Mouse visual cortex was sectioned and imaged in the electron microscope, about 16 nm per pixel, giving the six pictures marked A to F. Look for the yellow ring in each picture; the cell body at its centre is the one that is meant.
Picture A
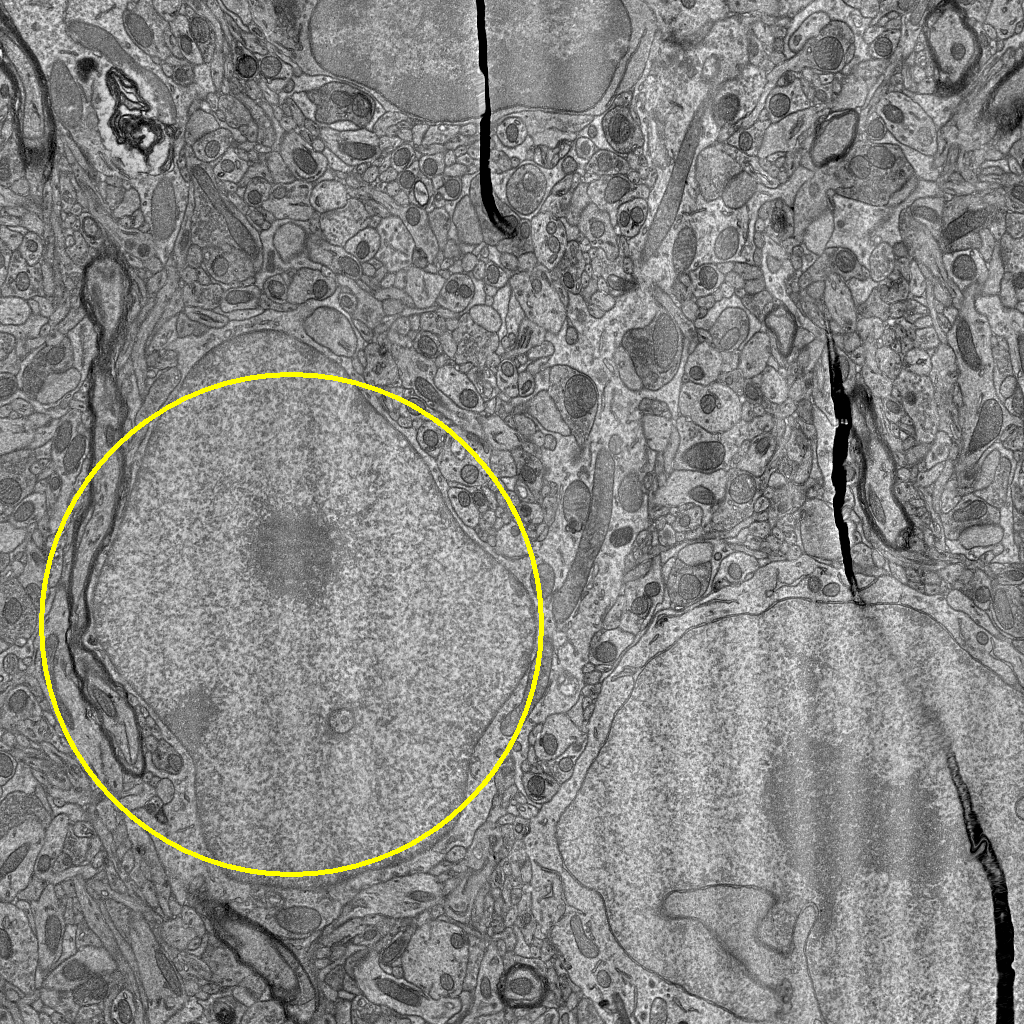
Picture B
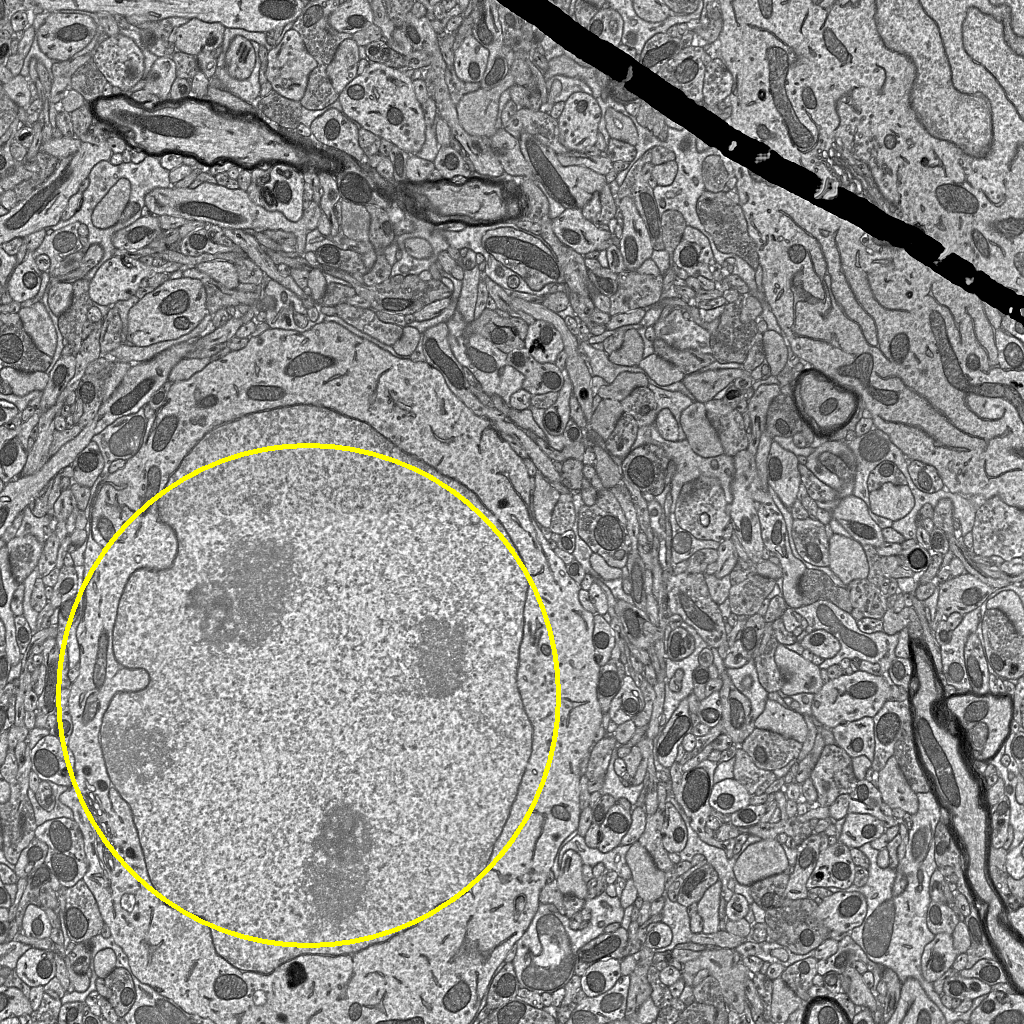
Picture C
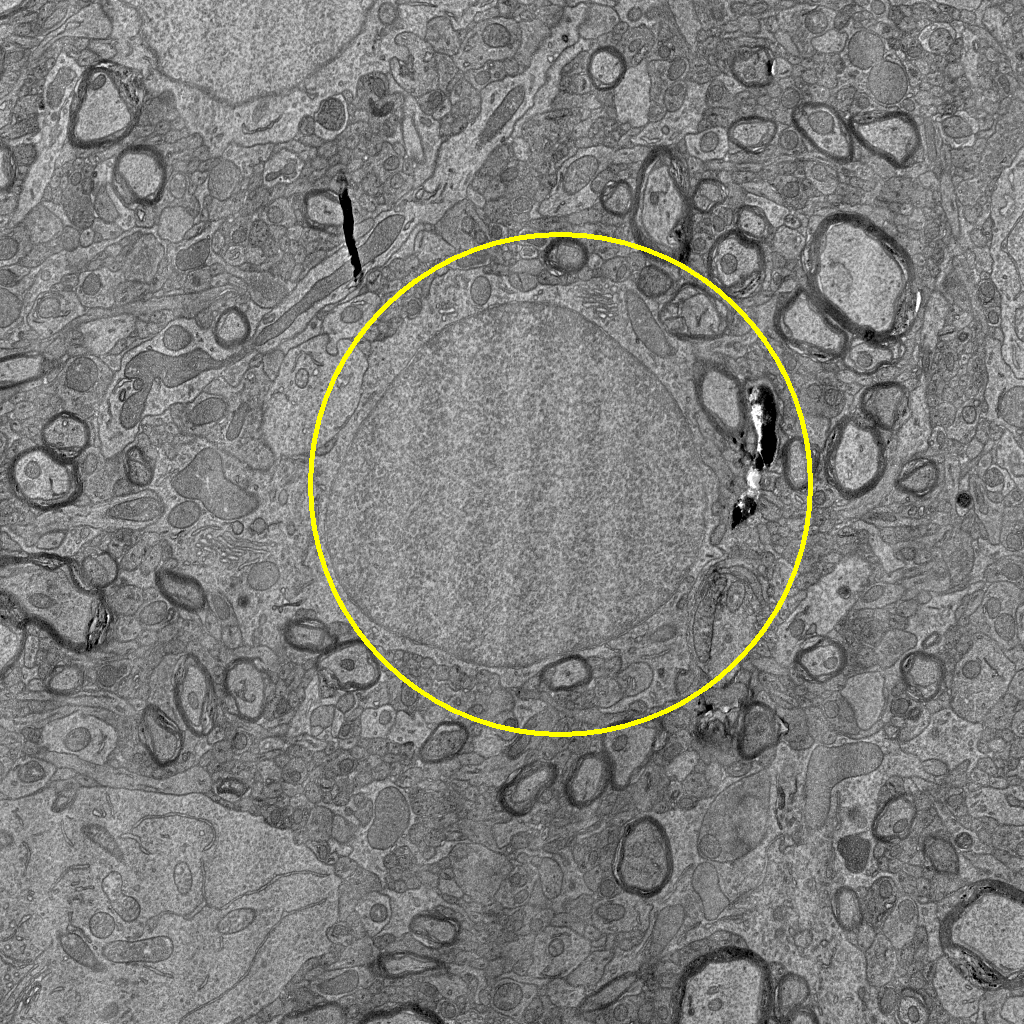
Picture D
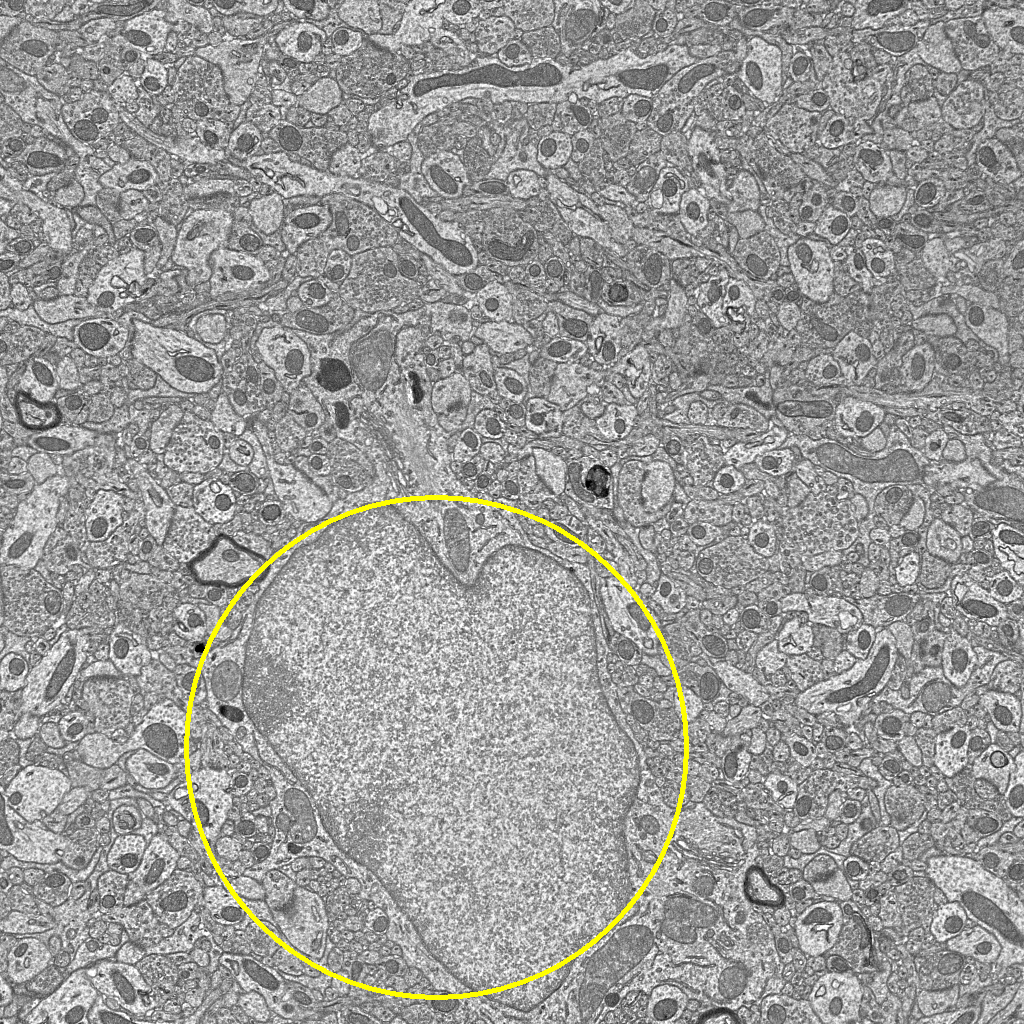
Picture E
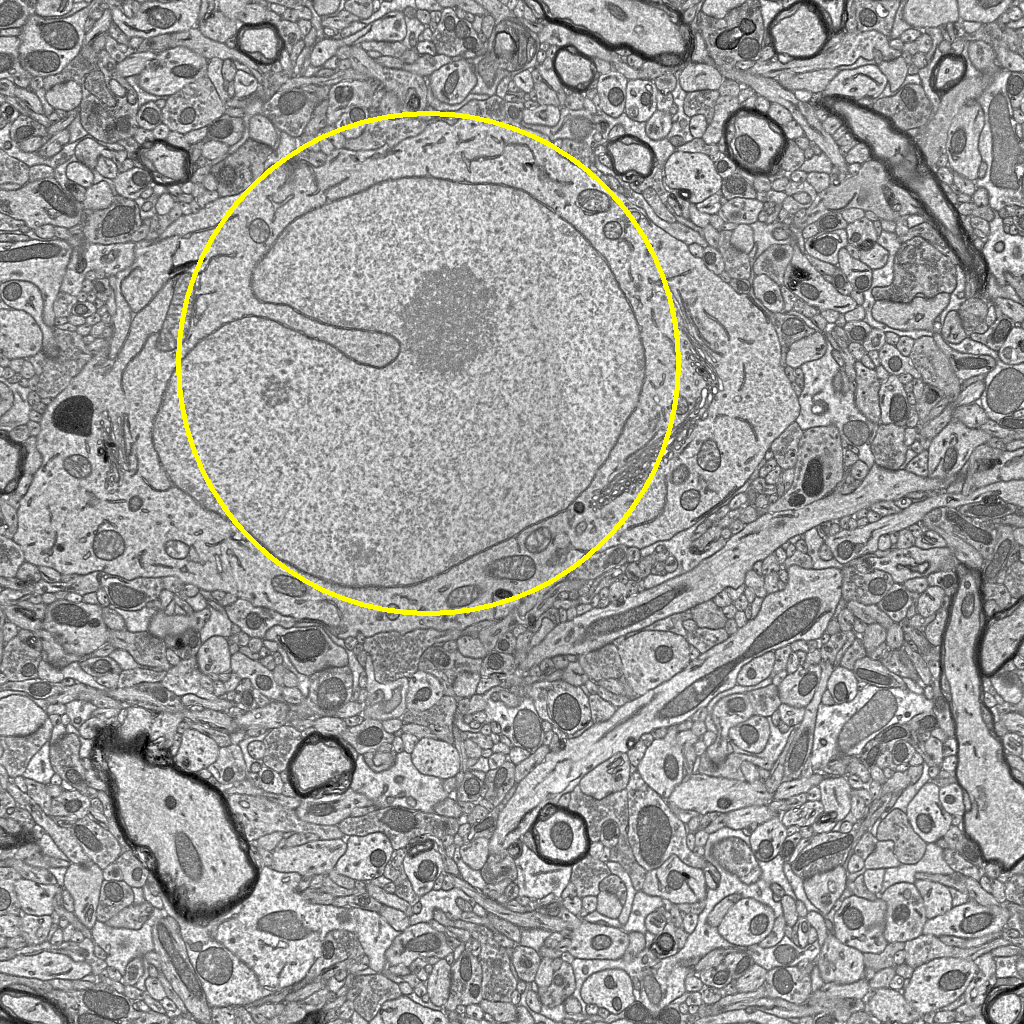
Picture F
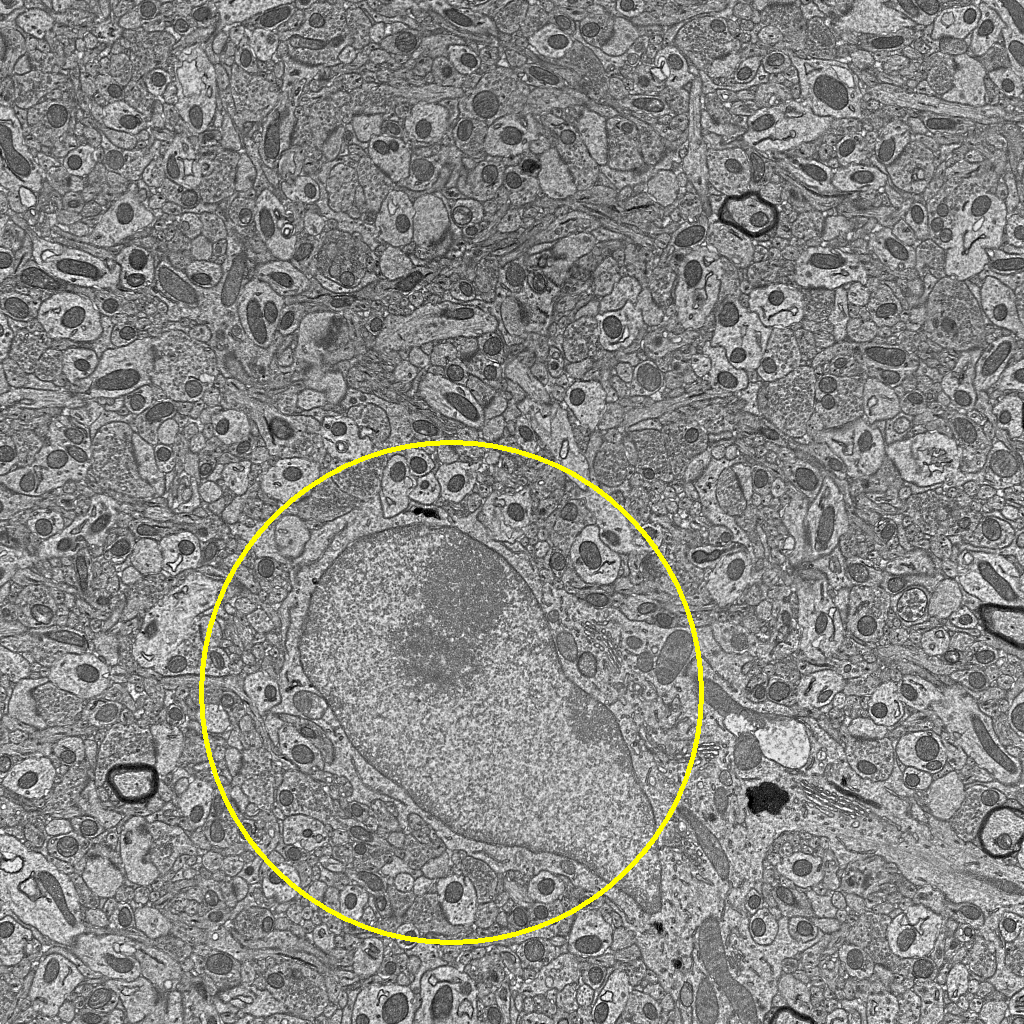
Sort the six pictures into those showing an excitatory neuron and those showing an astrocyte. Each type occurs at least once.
Pictures B and E show excitatory neurons, and pictures A, C, D and F show astrocytes.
